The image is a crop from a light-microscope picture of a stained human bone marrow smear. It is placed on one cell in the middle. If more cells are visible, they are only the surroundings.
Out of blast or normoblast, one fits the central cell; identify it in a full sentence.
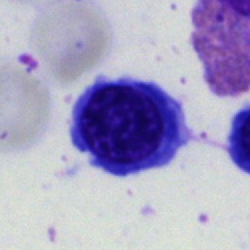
The crop shows a normoblast in its centre.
